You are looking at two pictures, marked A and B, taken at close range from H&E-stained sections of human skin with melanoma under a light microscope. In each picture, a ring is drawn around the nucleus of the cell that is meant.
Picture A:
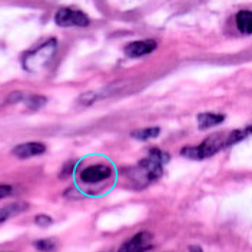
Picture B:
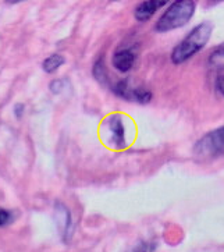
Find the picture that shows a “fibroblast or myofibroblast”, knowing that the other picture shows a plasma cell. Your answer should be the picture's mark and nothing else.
B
